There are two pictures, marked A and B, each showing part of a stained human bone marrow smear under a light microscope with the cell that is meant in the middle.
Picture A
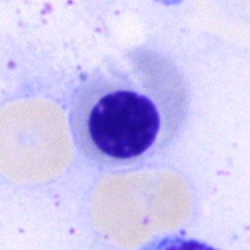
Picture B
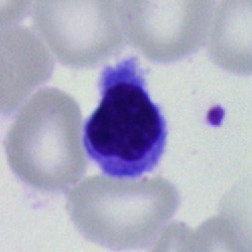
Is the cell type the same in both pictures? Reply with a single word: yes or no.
yes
